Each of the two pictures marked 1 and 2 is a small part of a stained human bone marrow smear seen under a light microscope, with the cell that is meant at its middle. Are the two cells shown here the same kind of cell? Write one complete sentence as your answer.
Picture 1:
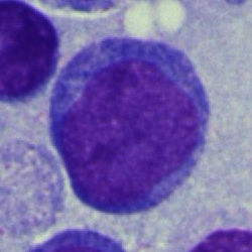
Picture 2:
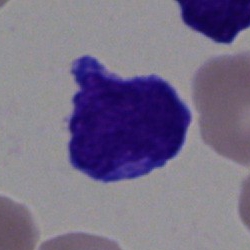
Yes, both are blasts.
